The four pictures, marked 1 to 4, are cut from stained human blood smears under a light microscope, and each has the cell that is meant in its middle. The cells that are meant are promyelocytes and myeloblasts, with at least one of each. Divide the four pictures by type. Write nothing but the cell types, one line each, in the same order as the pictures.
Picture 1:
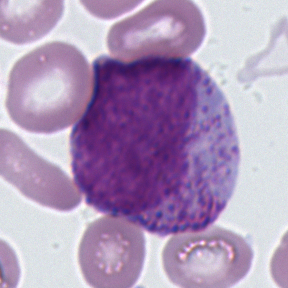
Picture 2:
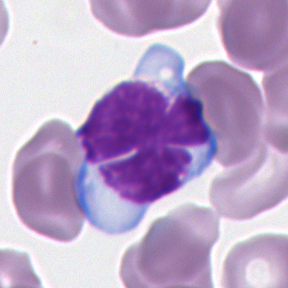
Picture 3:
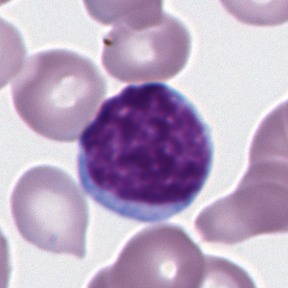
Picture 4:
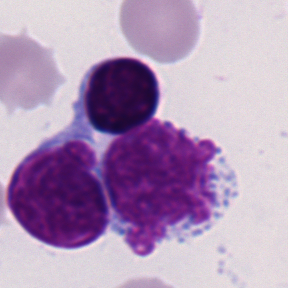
promyelocyte
myeloblast
myeloblast
myeloblast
